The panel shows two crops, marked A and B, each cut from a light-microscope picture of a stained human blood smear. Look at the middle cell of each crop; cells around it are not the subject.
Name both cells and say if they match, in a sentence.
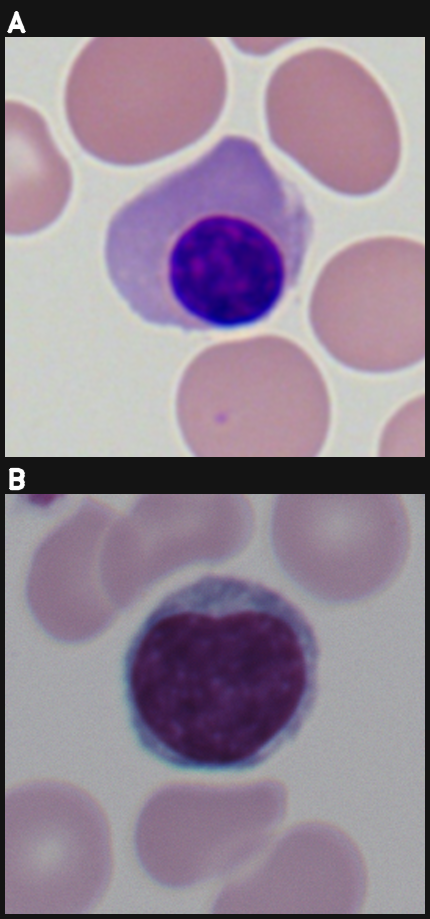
No, crop A and crop B show an erythroblast and a lymphocyte respectively.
